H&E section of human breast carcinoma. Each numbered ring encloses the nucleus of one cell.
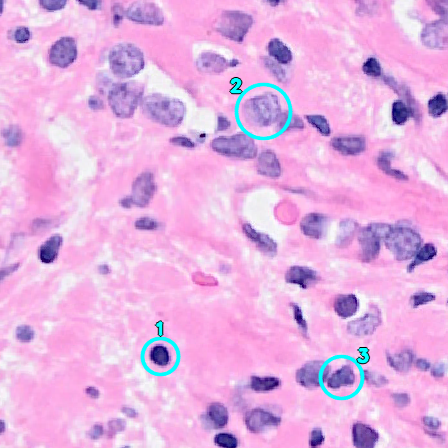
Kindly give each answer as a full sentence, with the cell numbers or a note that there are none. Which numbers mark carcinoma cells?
Of the cells marked with numbers, cell 2 is the only one that is a carcinoma cell.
